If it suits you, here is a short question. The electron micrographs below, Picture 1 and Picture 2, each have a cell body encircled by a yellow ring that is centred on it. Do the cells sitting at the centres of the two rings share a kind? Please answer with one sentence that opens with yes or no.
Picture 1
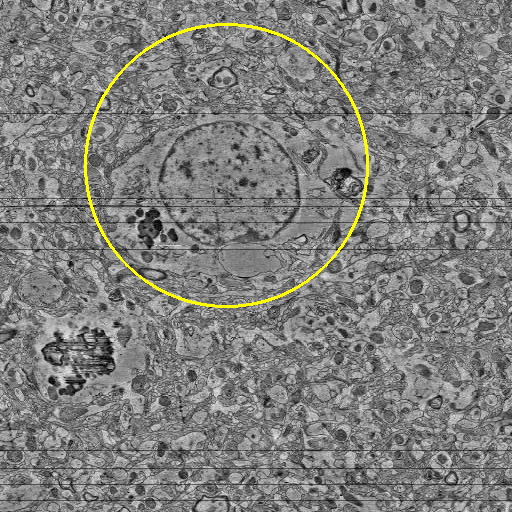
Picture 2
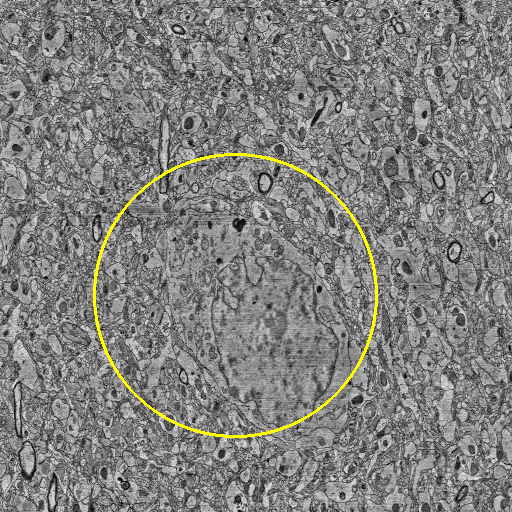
No, the two cells sitting at the ring centres fall into two kinds.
